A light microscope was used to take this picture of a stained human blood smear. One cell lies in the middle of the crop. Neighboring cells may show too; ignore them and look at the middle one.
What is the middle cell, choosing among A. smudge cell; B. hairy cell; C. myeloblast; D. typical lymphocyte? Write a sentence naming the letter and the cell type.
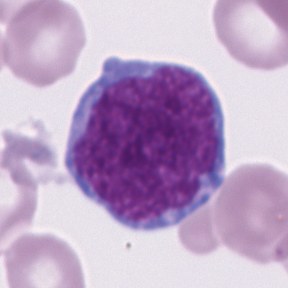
According to option C, which is correct, the cell in the middle is a myeloblast.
